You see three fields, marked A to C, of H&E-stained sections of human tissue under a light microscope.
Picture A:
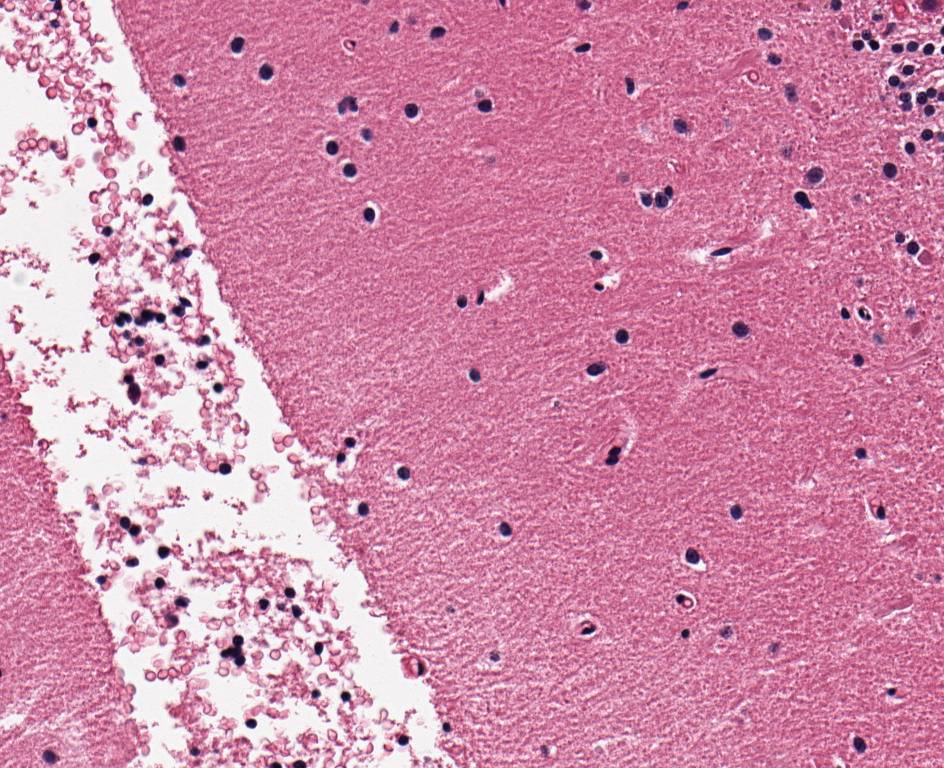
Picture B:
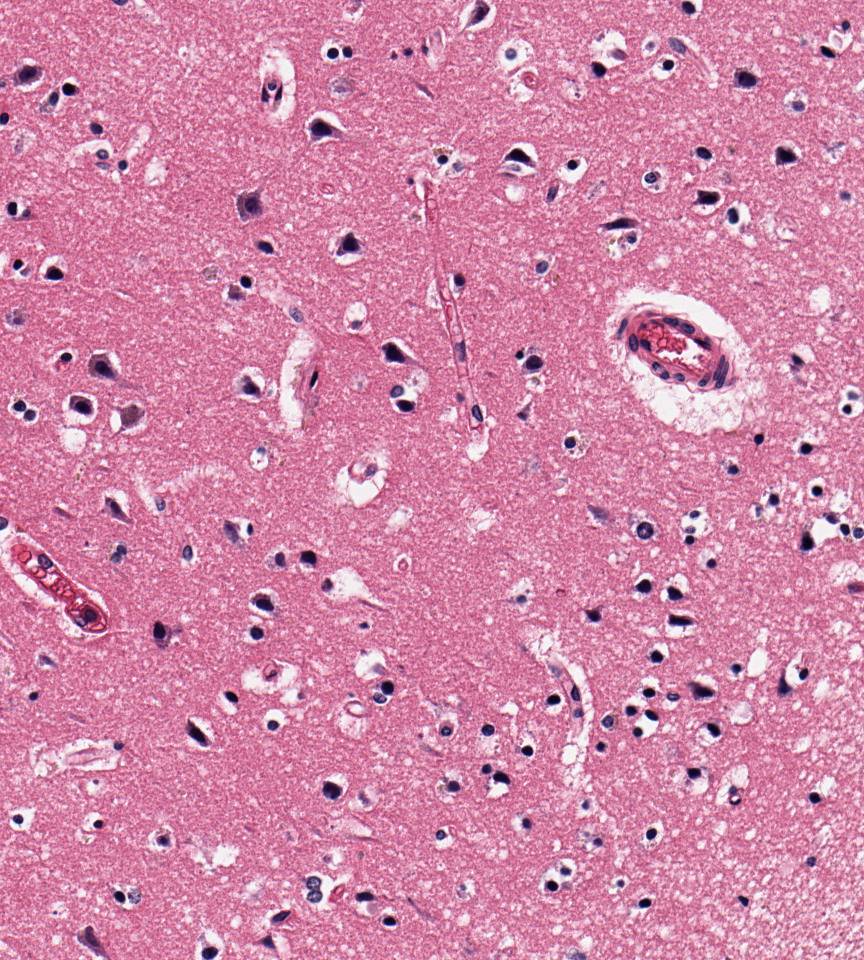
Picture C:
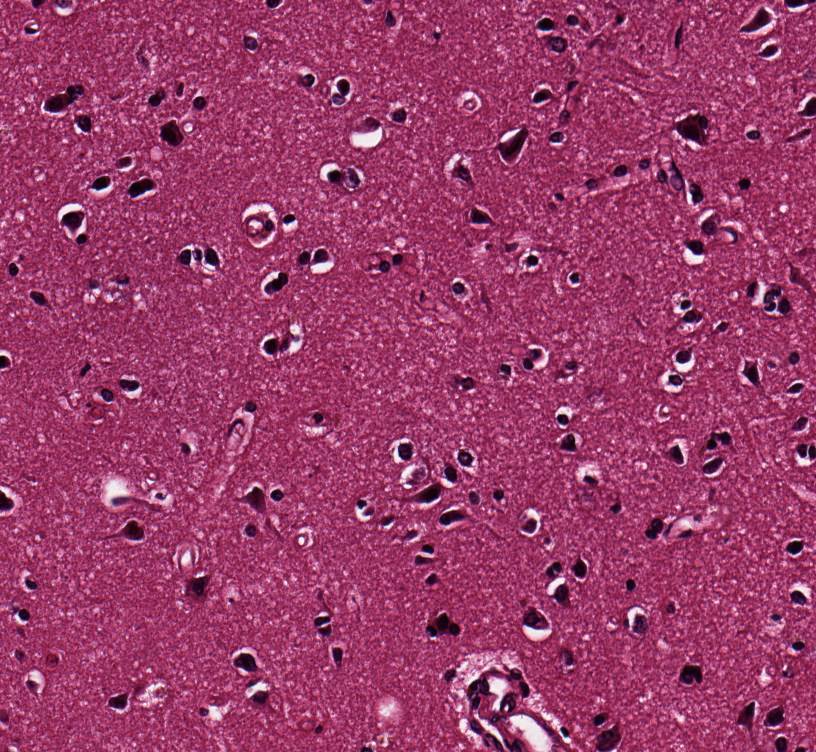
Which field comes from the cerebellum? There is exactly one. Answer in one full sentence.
Picture A is the field that comes from the cerebellum.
